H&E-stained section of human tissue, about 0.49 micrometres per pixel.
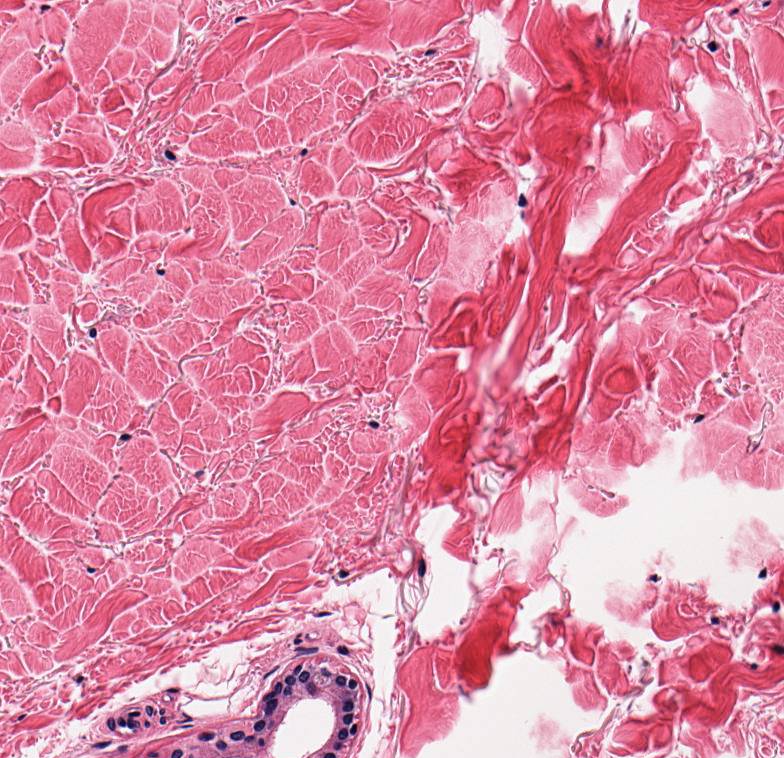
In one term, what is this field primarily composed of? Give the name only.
dermis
